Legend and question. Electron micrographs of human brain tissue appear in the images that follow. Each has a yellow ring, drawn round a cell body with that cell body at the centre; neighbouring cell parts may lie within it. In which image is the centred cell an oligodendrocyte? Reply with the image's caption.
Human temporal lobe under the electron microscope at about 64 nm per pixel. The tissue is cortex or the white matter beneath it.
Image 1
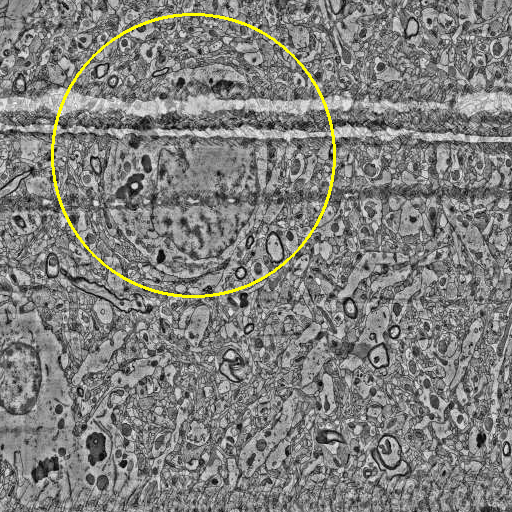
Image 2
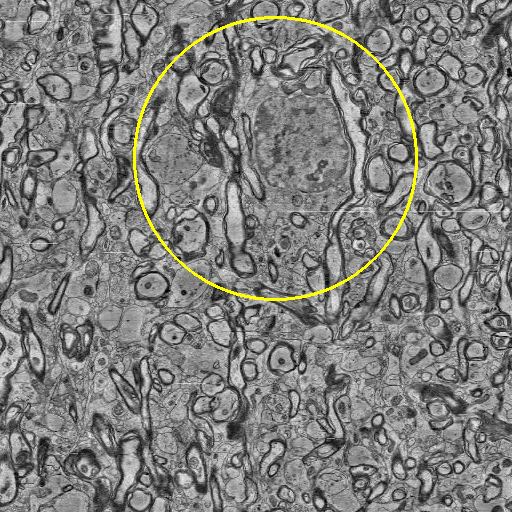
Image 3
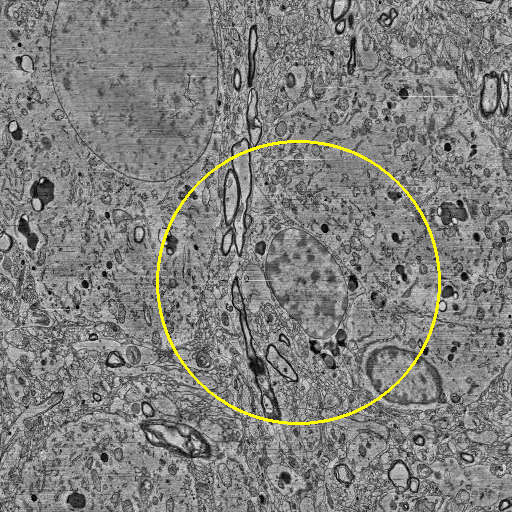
Image 2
